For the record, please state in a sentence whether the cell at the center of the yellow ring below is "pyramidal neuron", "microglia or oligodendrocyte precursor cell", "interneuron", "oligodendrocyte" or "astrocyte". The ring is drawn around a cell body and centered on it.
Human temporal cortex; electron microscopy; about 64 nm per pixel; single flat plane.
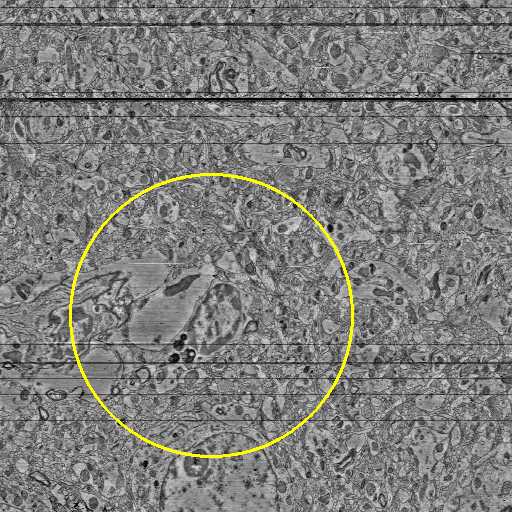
The cell at the ring's center is a microglial cell or oligodendrocyte precursor cell.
